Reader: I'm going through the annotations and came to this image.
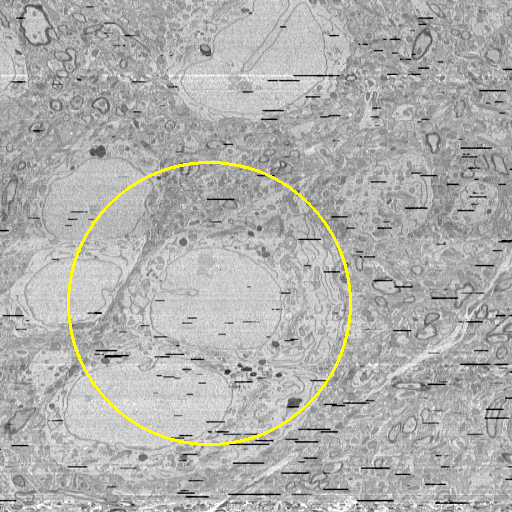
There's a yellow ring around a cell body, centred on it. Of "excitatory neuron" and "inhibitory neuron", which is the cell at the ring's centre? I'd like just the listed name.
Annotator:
inhibitory neuron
